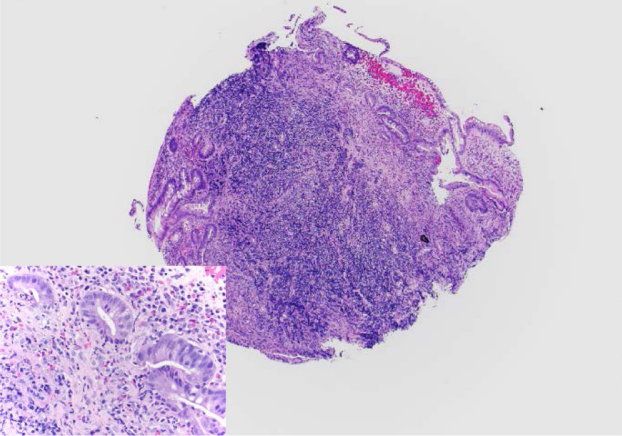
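A single rounded fragment of colonic mucosa, stained pink and purple, is dominated by a dense, dark purple infiltrate of small round inflammatory cells filling the lamina propria. Crypts are sparse: only a few irregular, distorted glands remain, mostly at the edges of the fragment, and much of the tissue lacks crypts altogether. A small collection of red blood cells lies near the upper surface. In the enlarged inset, crypts lined by columnar epithelium sit in a crowded, cellular stroma containing many inflammatory cells, some with bright pink granular cytoplasm, and inflammatory cells are seen within the crypt epithelium.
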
